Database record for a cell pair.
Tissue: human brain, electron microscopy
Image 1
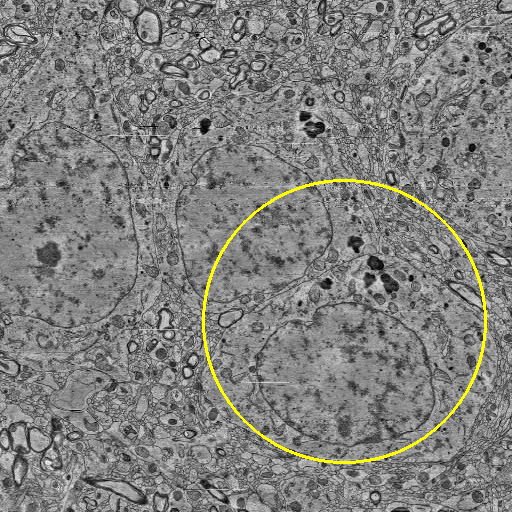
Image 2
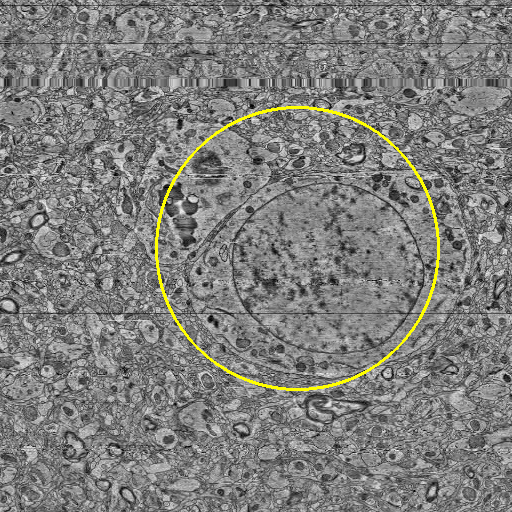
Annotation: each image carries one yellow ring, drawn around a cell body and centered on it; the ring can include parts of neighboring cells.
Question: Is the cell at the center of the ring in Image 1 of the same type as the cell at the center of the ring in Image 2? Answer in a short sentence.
Yes, the cells are of the same type.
